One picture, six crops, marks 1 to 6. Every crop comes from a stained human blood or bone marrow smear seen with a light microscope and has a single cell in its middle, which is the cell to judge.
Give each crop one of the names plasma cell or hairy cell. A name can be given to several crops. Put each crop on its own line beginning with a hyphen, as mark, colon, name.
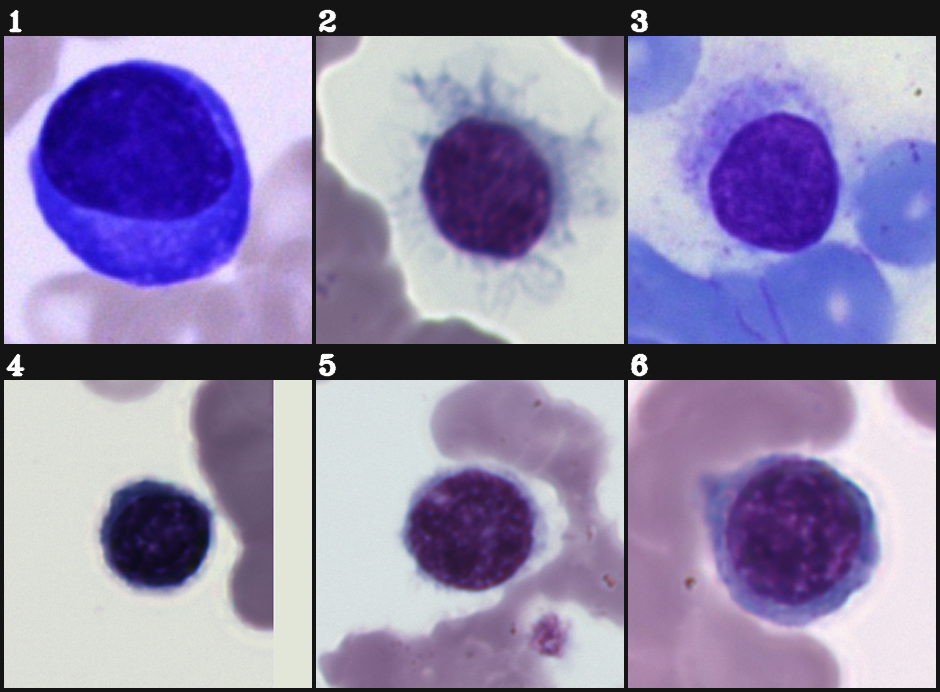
- 1: plasma cell
- 2: hairy cell
- 3: hairy cell
- 4: plasma cell
- 5: hairy cell
- 6: plasma cell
